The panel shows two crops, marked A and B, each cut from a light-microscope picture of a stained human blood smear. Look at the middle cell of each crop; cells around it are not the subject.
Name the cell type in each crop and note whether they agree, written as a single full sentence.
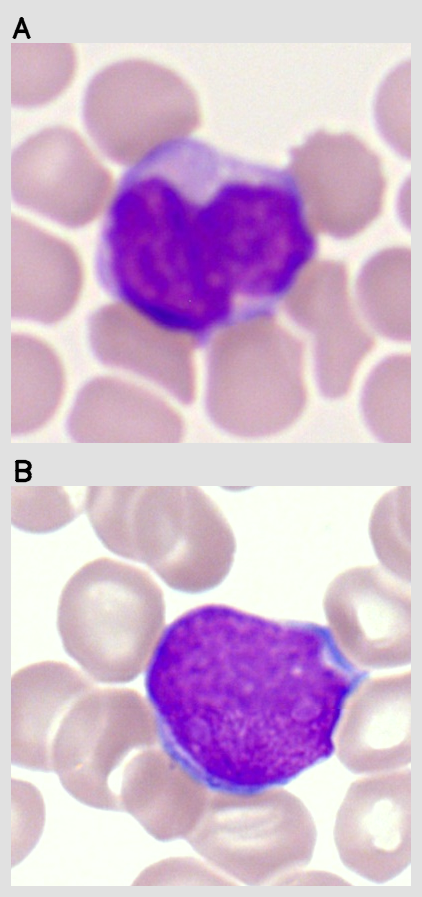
Yes, blasts are present at the centre of both crops.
